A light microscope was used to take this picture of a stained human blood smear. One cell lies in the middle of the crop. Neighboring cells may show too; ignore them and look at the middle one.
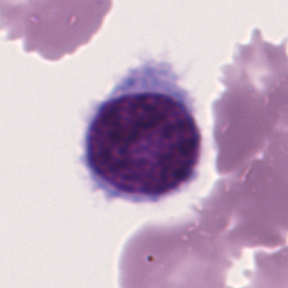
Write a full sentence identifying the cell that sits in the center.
In the central position of this crop, the cell is a hairy cell.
